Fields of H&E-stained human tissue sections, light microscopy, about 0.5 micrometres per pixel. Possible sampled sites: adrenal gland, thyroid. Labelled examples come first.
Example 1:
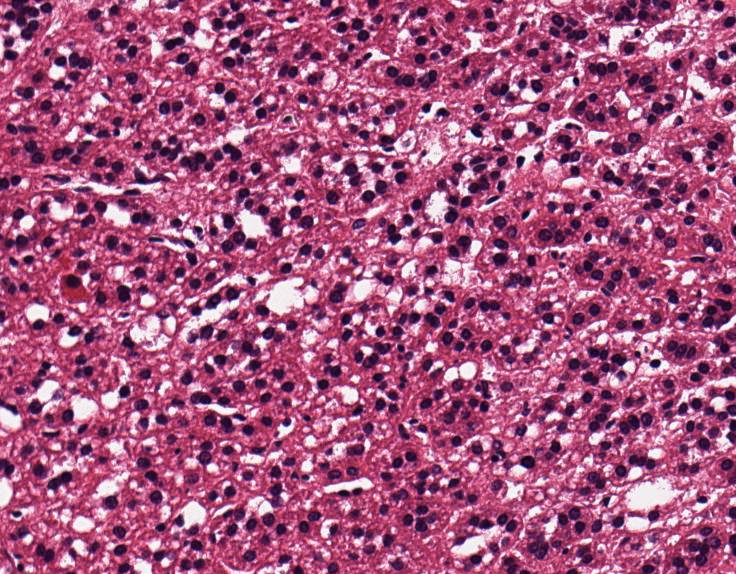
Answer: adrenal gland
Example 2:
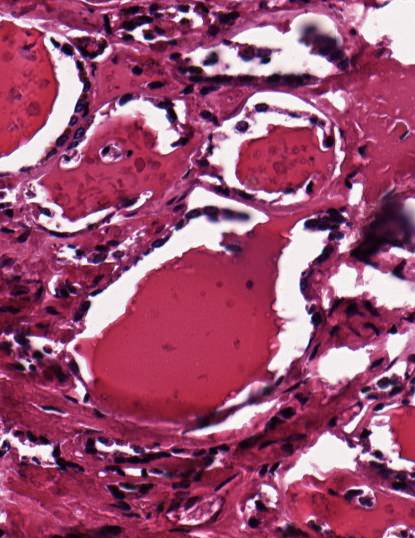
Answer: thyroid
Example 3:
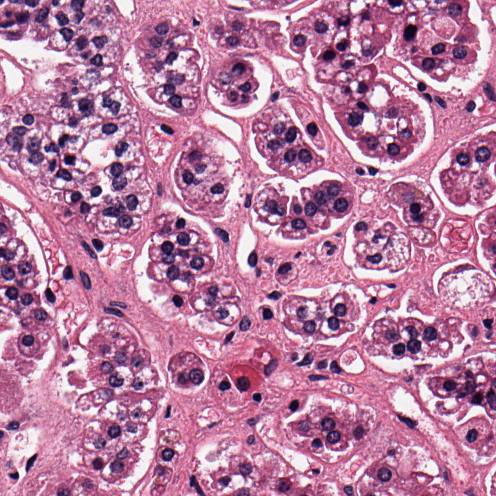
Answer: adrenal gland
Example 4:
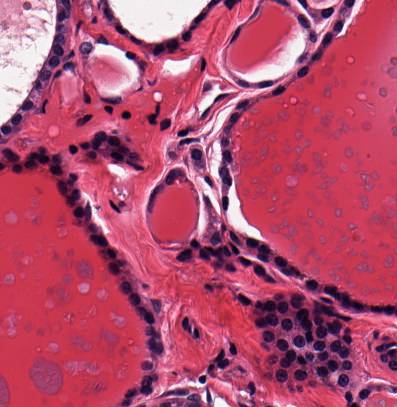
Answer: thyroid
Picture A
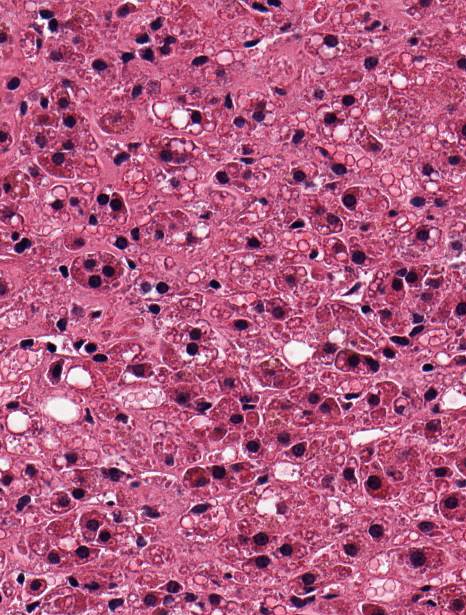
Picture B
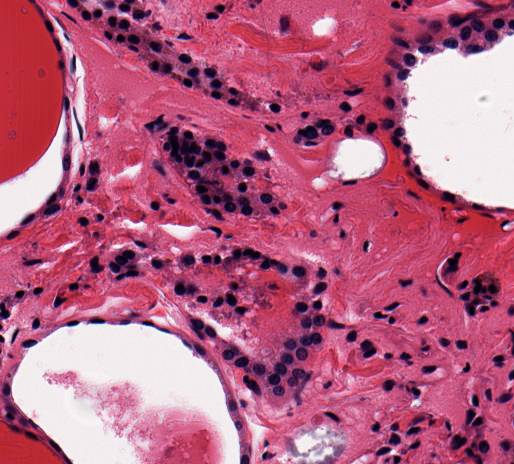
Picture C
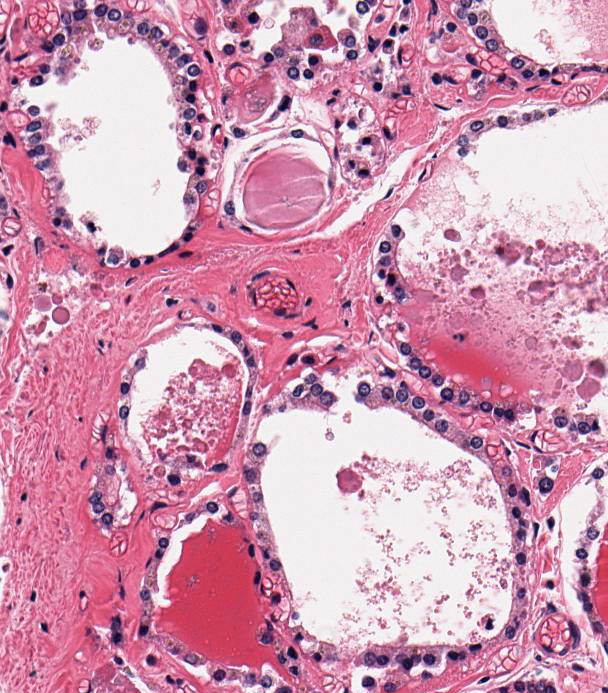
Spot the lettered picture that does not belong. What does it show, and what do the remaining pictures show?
Odd one out: A (adrenal gland). The rest: thyroid.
